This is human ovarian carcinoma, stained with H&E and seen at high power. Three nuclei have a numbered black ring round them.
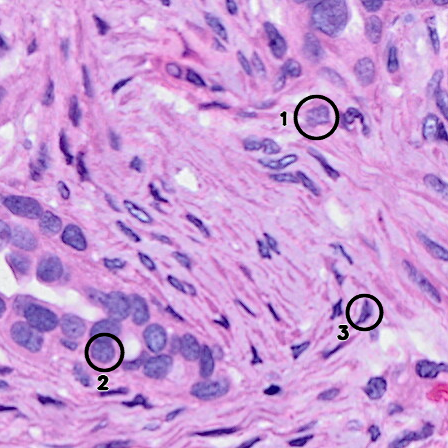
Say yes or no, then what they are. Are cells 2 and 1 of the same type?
No, cell 2 is a carcinoma cell, and cell 1 is a fibroblast.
